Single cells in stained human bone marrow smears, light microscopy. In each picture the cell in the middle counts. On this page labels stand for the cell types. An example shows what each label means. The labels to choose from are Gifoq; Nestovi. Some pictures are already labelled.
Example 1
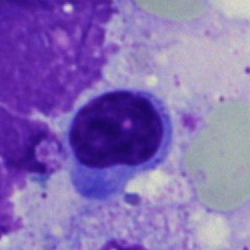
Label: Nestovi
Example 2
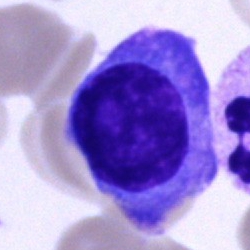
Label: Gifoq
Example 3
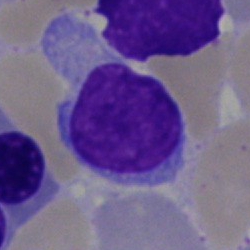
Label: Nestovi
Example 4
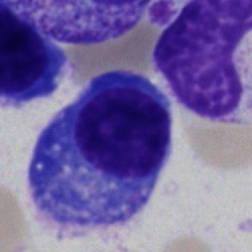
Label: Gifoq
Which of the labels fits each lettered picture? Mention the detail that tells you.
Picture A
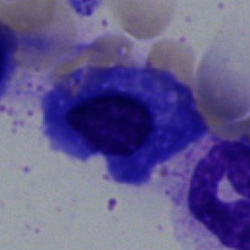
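Gifoq: The cytoplasm is abundant and stains a deep blue.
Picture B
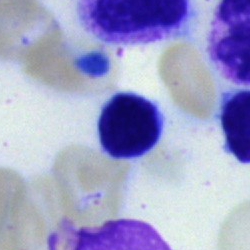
Nestovi: The cytoplasm is scant, at most a thin rim around the nucleus.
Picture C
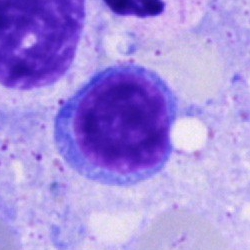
Nestovi: The nucleus fills most of the cell.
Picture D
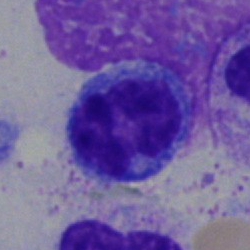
Nestovi: The cytoplasm forms only a thin rim around the nucleus.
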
